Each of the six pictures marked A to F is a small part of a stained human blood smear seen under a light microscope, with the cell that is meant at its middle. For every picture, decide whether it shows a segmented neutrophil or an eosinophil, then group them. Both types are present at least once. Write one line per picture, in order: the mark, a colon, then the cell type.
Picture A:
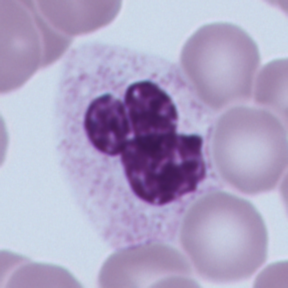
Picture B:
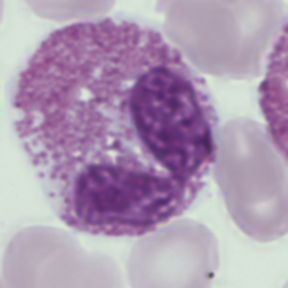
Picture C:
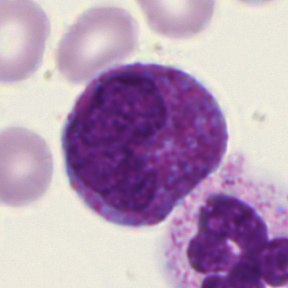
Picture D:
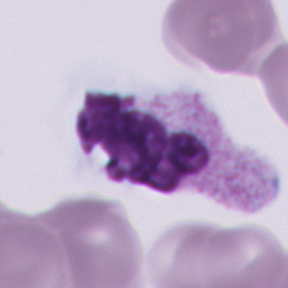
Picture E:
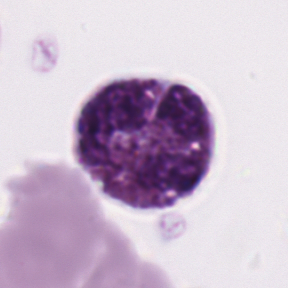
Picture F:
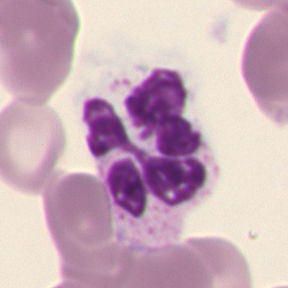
A: segmented neutrophil
B: eosinophil
C: eosinophil
D: segmented neutrophil
E: eosinophil
F: segmented neutrophil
